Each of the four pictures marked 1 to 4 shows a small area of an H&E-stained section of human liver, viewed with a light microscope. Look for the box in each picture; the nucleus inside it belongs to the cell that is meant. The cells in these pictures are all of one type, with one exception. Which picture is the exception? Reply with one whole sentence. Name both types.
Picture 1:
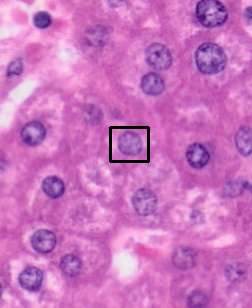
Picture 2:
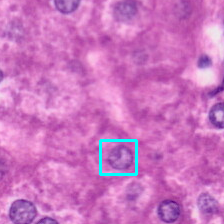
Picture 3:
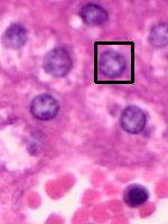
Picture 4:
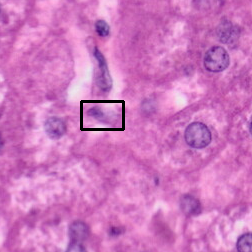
Picture 4 differs, because its cell is a Kupffer cell and the rest are hepatocytes.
